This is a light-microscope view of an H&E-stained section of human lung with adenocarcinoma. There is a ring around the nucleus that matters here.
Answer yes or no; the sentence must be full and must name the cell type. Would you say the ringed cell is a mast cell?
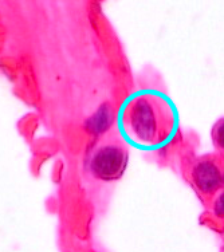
No, mate, the ringed cell is a type I pneumocyte rather than a mast cell.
